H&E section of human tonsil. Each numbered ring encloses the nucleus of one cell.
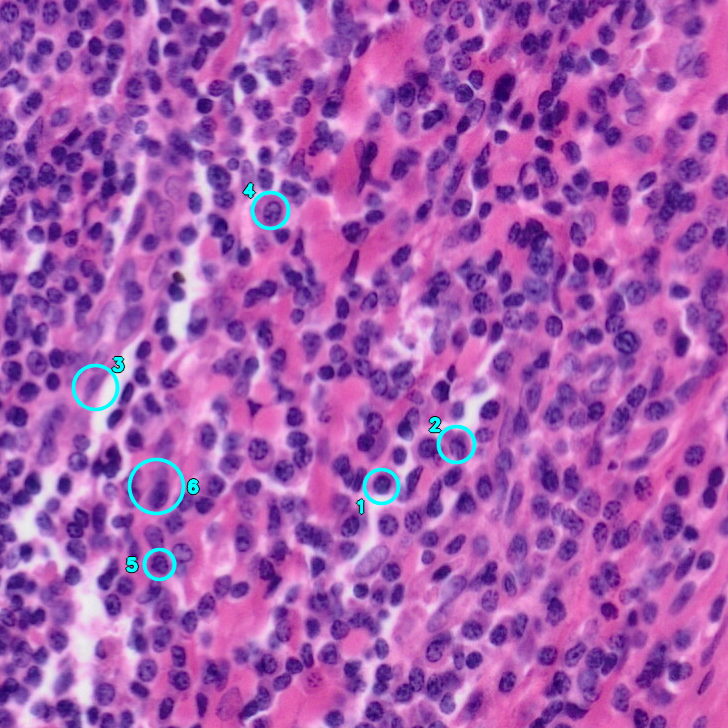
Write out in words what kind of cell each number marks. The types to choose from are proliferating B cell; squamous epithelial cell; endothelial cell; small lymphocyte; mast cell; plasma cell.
Cell 1 is a plasma cell, cell 2 is a plasma cell, cell 3 is an endothelial cell, cell 4 is a plasma cell, cell 5 is a plasma cell and cell 6 is an endothelial cell.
